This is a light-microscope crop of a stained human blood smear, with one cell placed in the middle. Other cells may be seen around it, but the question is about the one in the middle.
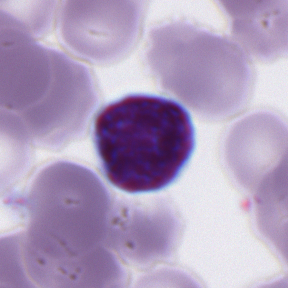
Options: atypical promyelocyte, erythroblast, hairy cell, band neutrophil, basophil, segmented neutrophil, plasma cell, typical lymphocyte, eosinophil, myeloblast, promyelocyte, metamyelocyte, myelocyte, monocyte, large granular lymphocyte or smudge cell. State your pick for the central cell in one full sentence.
In this crop, the cell at the very middle is a typical lymphocyte.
